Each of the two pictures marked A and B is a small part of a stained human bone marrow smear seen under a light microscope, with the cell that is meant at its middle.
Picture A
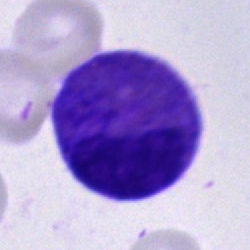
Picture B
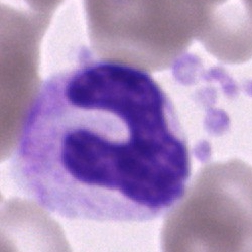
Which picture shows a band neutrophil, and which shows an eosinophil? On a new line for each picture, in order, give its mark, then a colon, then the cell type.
A: eosinophil
B: band neutrophil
